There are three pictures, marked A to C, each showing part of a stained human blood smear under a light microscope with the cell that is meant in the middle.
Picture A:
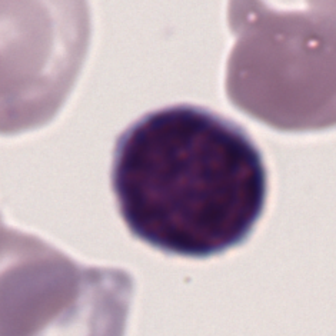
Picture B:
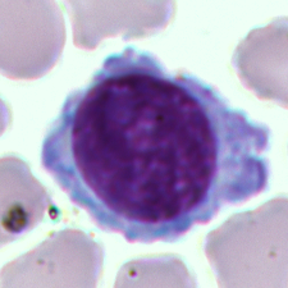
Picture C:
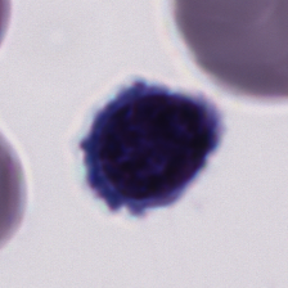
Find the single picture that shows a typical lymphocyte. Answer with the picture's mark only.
A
